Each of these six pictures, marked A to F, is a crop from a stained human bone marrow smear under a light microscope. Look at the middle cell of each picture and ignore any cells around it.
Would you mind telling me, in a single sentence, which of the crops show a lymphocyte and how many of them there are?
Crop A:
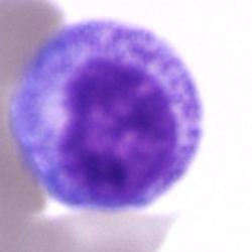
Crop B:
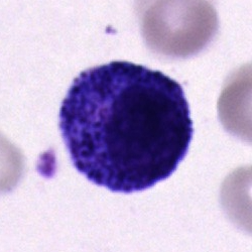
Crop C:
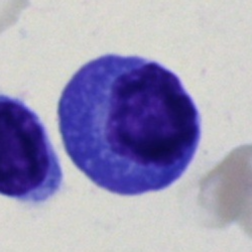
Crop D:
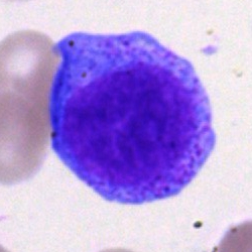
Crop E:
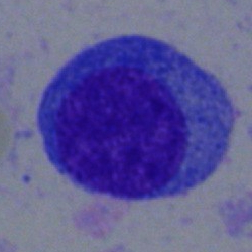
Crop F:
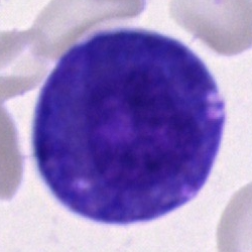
Throughout the crops there are no lymphocytes, so the count is zero.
